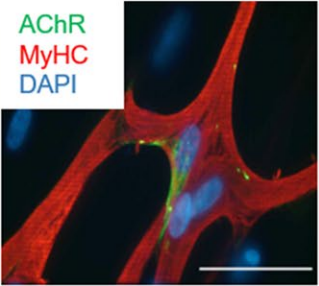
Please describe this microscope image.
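These are cultured myotubes, broad branching red cells whose cytoplasm shows fine lengthwise fibrils and striations. Several oval blue nuclei sit together inside the central part of one myotube, where small bright green dots and patches gather over the surface. A few single nuclei lie apart from the red cells at the edge of the field.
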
